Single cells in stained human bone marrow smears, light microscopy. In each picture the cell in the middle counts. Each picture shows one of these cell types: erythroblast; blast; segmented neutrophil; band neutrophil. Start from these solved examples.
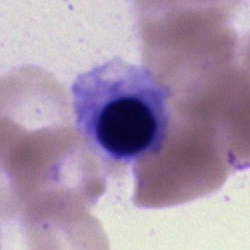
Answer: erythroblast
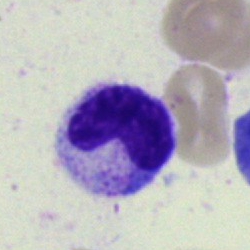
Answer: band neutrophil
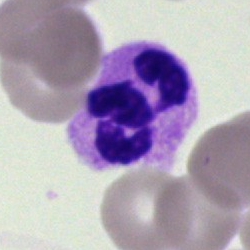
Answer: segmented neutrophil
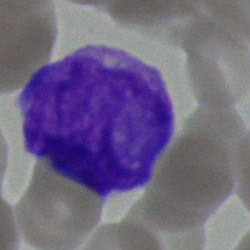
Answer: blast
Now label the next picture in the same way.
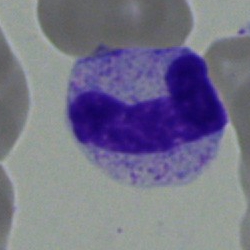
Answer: band neutrophil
